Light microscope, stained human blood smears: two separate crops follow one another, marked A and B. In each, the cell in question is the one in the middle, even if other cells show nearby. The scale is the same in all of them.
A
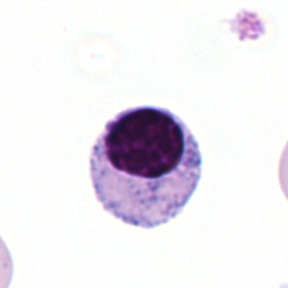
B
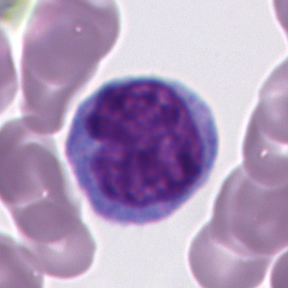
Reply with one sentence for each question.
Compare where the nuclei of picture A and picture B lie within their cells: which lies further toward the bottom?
The nucleus in picture B lies further toward the bottom of its cell.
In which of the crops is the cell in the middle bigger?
It is the cell in picture B, about 1.5 times as large in area as the cell in picture A.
